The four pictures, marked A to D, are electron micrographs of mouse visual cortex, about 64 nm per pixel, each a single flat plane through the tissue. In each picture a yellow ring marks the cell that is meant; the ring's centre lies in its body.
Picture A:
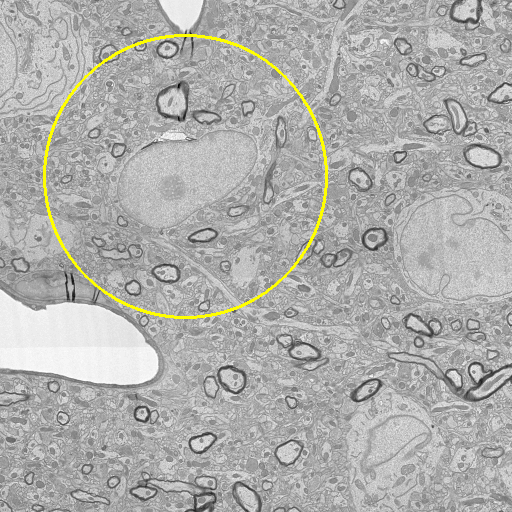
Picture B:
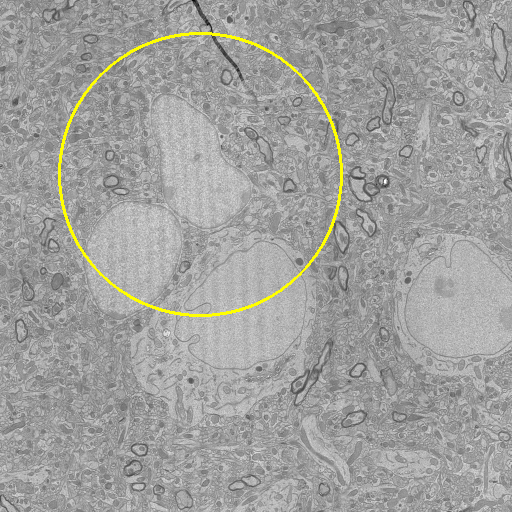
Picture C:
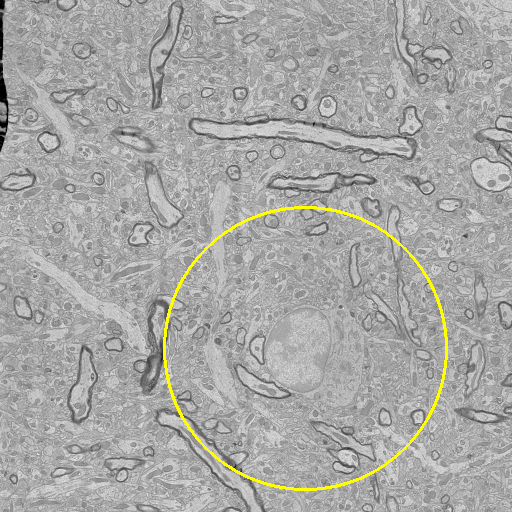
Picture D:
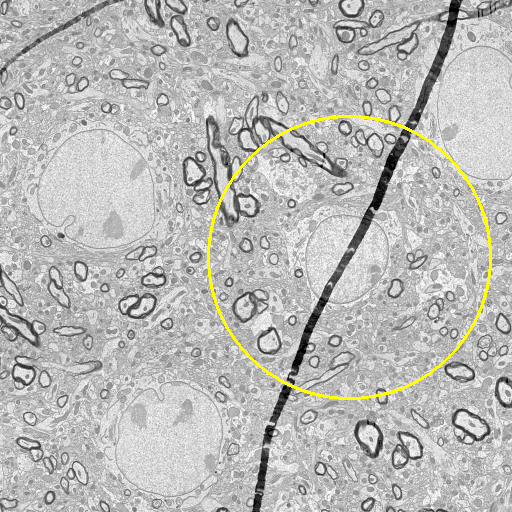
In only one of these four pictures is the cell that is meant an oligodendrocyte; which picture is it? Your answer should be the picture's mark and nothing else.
C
